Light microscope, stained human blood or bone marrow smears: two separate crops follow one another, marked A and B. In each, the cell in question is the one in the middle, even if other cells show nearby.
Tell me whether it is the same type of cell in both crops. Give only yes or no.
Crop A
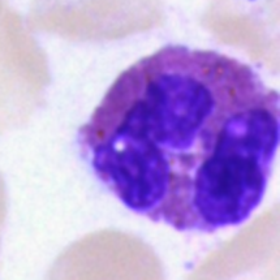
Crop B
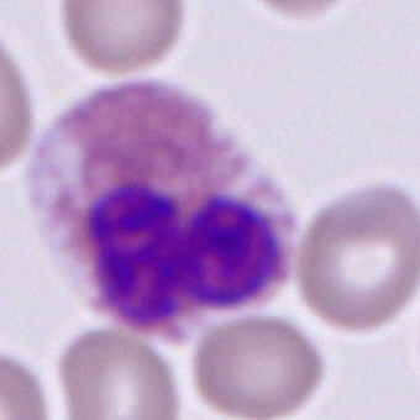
yes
